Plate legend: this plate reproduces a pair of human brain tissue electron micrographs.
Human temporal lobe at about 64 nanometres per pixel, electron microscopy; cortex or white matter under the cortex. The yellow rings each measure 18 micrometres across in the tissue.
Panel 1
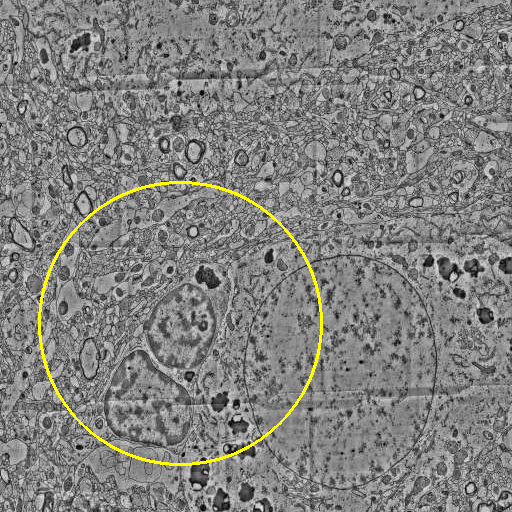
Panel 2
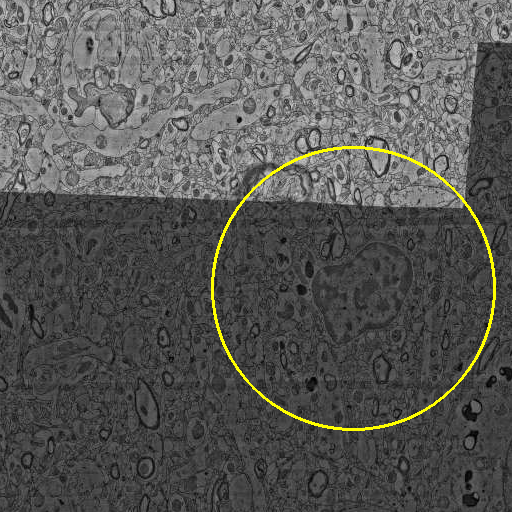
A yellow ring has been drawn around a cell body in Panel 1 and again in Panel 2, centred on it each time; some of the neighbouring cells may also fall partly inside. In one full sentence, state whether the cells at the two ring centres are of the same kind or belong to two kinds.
The ring-centred cells of Panel 1 and Panel 2 are of the same kind.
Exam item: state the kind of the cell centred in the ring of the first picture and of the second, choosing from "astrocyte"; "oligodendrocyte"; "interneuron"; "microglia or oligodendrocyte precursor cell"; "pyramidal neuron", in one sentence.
Each of the ringed cells, first and second, is a microglial cell or oligodendrocyte precursor cell.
